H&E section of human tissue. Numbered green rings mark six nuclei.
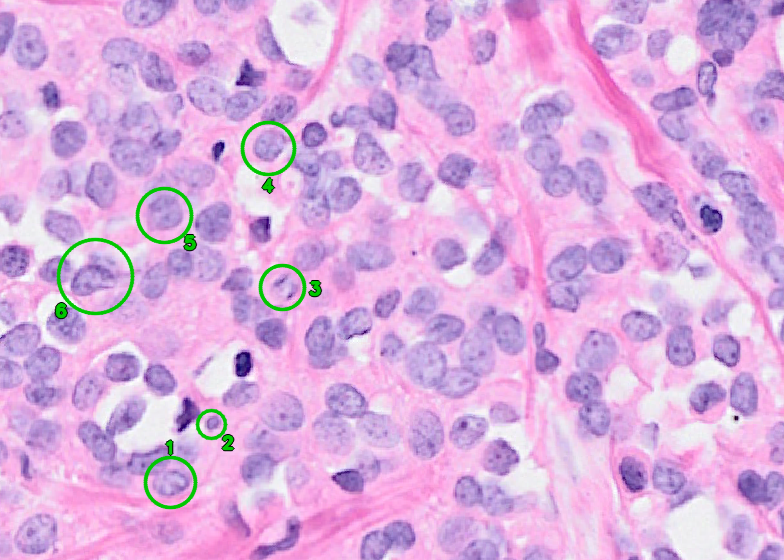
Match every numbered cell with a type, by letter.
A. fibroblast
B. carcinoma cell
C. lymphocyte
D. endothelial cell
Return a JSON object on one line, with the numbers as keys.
{"1": "B", "2": "C", "3": "D", "4": "B", "5": "B", "6": "B"}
